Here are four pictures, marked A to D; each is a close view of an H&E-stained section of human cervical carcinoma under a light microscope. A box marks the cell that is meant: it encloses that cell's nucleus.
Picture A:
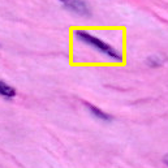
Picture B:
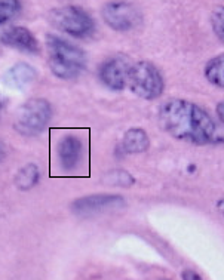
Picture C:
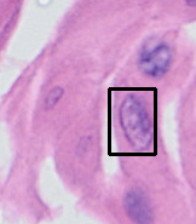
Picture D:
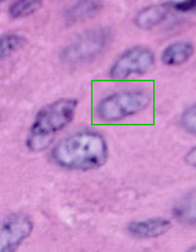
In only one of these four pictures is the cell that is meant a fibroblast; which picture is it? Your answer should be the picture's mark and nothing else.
A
